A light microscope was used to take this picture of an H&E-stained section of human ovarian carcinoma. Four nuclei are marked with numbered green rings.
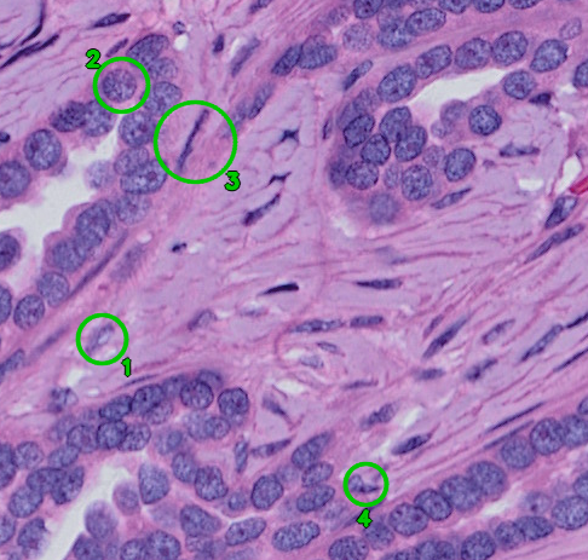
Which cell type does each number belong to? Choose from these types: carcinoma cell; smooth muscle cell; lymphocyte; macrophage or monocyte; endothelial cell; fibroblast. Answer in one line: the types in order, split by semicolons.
fibroblast; carcinoma cell; fibroblast; fibroblast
